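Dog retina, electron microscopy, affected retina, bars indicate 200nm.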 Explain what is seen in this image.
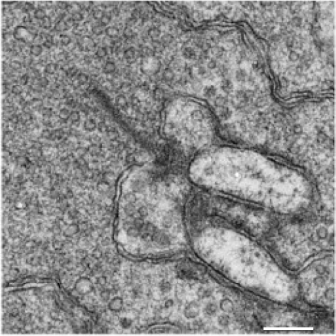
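This electron micrograph shows a rod spherule terminal densely packed with small clear synaptic vesicles. A dark rod-shaped synaptic ribbon points toward a deep invagination of the terminal membrane. Within that invagination sit several pale, elongated postsynaptic processes bounded by membranes.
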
